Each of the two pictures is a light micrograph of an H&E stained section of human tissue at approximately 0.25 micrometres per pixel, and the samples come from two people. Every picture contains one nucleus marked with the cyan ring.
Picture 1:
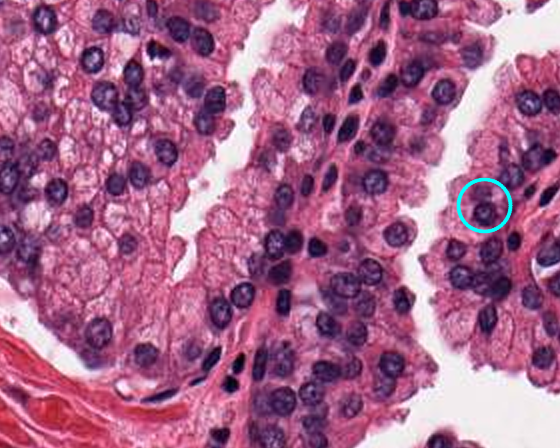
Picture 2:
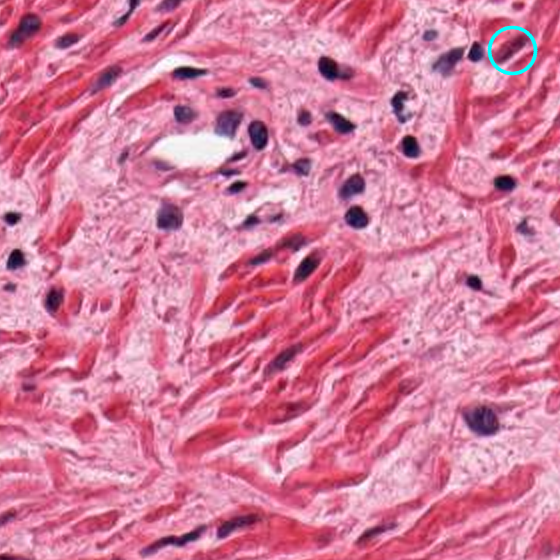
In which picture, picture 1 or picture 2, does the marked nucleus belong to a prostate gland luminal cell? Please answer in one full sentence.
What the marked nucleus in picture 1 belongs to is a prostate gland luminal cell.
